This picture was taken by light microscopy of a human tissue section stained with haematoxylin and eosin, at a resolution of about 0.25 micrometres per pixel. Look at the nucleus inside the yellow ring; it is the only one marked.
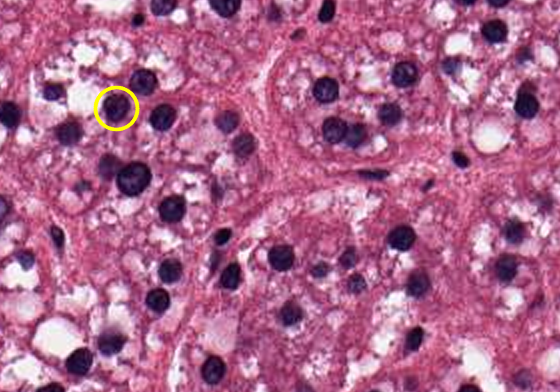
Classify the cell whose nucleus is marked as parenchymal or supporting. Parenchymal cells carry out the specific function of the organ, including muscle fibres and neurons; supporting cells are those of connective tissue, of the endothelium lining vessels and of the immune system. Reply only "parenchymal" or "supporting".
parenchymal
